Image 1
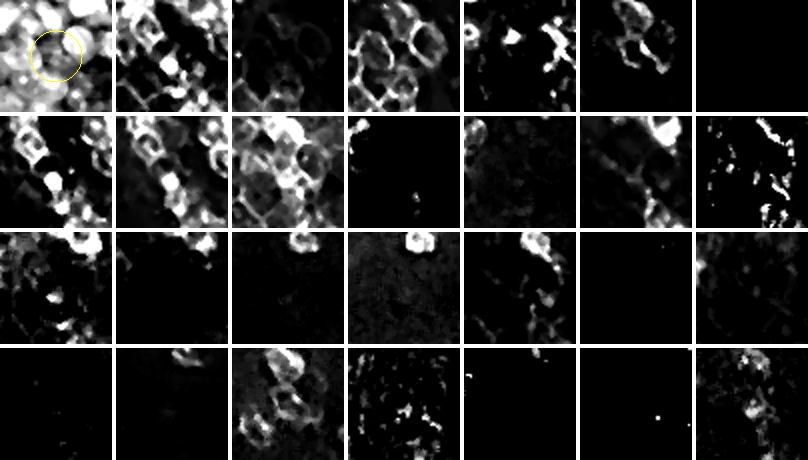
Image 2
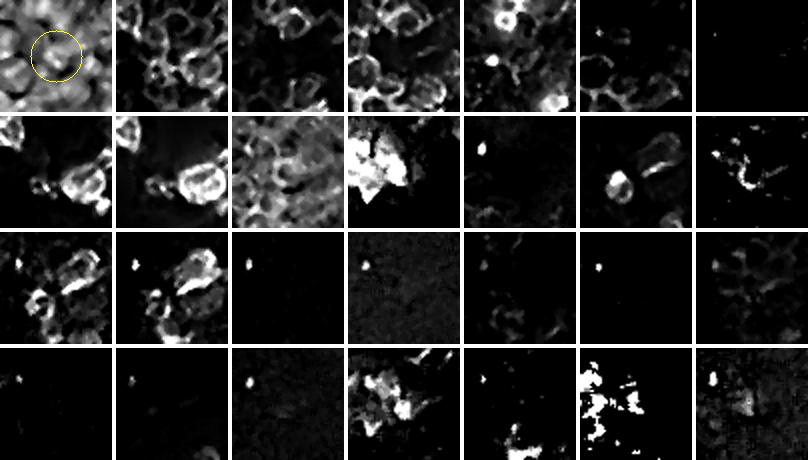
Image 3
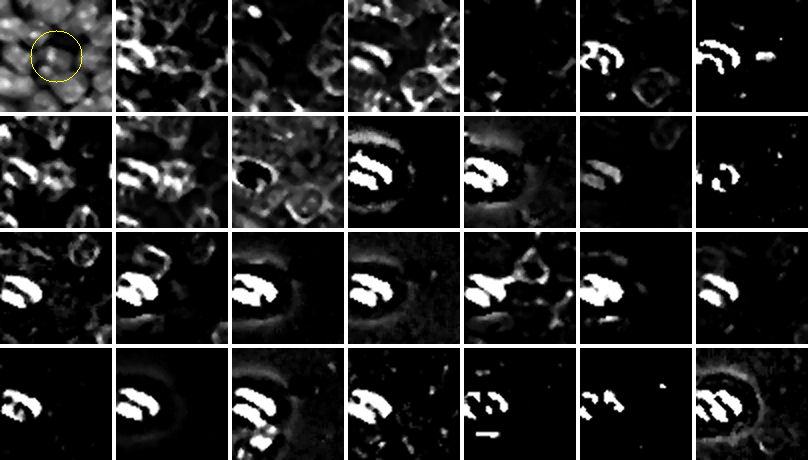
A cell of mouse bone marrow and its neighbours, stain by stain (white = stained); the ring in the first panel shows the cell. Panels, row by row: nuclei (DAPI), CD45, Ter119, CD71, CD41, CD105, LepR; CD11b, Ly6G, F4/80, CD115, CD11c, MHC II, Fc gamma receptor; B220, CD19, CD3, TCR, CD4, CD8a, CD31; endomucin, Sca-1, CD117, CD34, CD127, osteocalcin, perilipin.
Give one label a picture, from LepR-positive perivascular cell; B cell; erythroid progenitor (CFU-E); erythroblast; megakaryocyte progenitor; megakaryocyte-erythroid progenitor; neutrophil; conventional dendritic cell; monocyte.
Picture 1: erythroid progenitor (CFU-E)
Picture 2: monocyte
Picture 3: LepR-positive perivascular cell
